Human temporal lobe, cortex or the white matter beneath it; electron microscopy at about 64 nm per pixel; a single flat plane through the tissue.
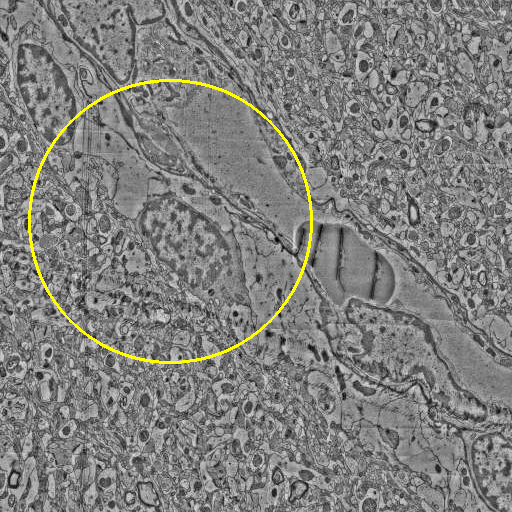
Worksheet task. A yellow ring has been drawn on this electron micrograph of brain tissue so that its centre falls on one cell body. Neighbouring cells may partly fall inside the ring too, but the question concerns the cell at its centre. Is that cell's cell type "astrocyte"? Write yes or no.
no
